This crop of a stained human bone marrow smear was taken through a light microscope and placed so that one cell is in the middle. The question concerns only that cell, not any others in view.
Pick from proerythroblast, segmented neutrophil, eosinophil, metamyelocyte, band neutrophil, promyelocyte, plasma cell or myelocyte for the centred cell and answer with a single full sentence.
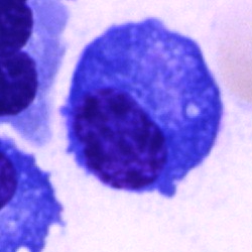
At the crop's centre, the cell is a plasma cell.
